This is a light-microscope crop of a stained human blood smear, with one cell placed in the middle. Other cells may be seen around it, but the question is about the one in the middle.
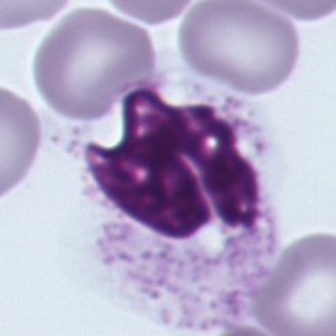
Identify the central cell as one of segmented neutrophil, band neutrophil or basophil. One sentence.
The cell that lies at the centre of the crop is a segmented neutrophil.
